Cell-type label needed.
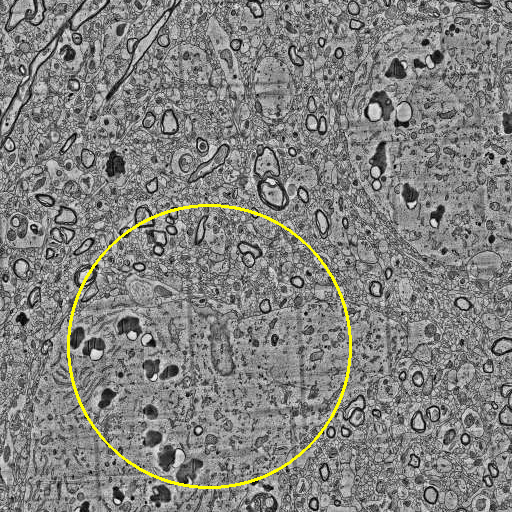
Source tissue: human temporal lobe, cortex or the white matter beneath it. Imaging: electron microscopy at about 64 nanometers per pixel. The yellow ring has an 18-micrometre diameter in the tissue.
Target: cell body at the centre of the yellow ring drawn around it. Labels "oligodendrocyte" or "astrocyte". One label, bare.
oligodendrocyte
